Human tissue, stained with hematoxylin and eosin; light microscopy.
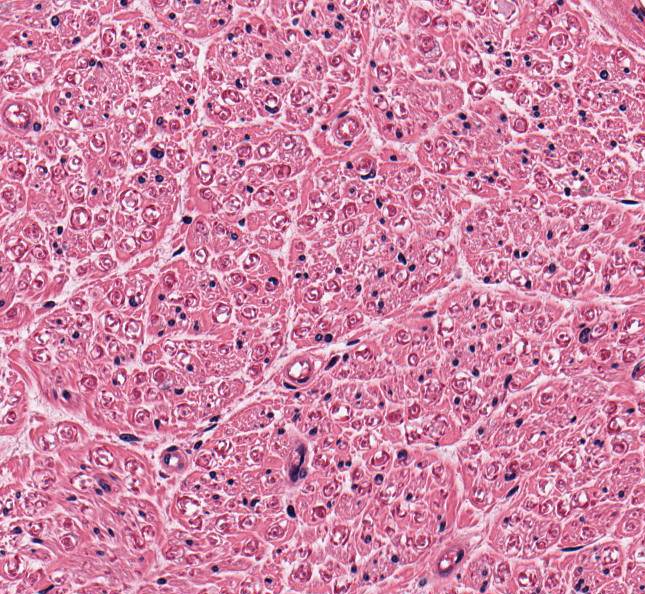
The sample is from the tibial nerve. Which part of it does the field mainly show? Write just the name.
nerve fascicle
